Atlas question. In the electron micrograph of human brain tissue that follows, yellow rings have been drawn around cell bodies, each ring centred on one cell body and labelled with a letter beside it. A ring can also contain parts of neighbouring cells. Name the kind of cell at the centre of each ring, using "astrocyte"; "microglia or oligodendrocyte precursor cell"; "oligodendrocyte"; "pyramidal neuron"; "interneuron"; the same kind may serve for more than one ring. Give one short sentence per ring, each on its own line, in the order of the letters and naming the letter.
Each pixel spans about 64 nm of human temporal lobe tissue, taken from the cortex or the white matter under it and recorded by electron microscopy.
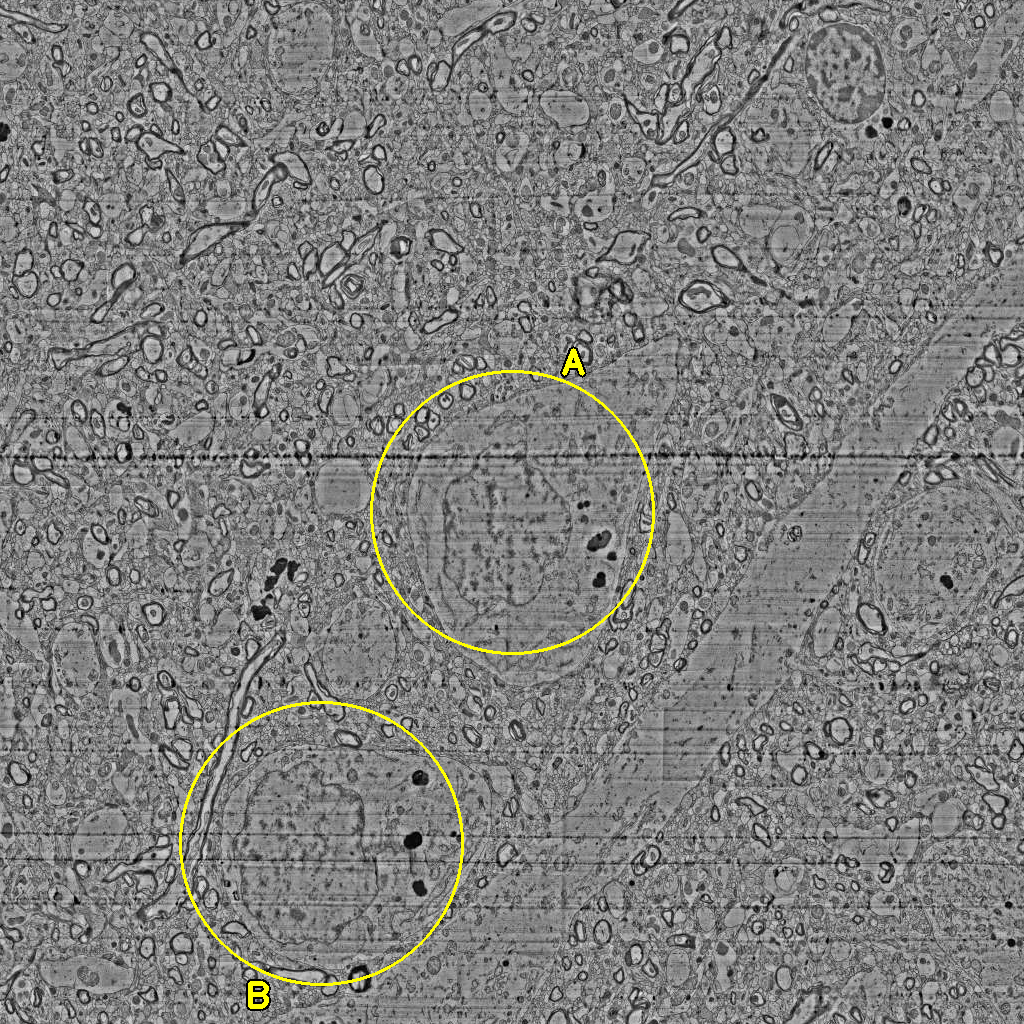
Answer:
For ring A, the cell at the centre is a pyramidal neuron.
For ring B, the cell at the centre is an interneuron.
